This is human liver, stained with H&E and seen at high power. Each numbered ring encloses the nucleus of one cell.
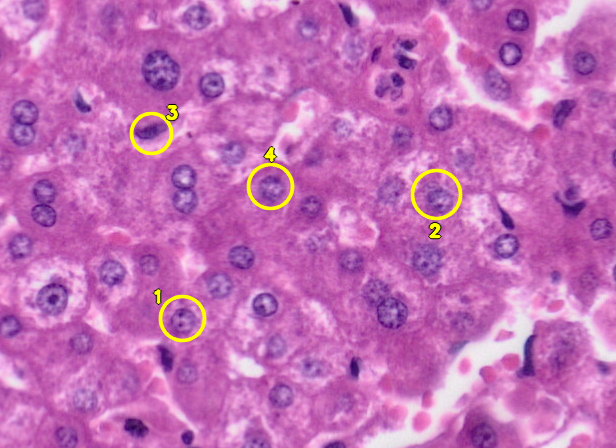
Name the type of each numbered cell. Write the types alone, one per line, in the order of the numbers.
hepatocyte
hepatocyte
Kupffer cell
hepatocyte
